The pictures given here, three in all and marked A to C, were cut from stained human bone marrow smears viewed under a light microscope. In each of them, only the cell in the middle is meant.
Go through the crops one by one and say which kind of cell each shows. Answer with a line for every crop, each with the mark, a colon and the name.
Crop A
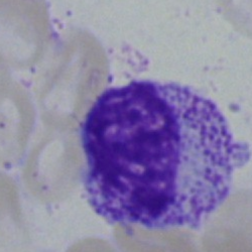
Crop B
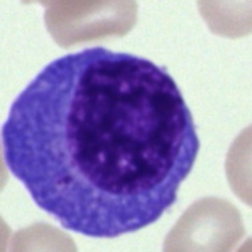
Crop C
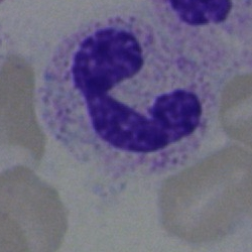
A: myelocyte
B: plasma cell
C: segmented neutrophil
